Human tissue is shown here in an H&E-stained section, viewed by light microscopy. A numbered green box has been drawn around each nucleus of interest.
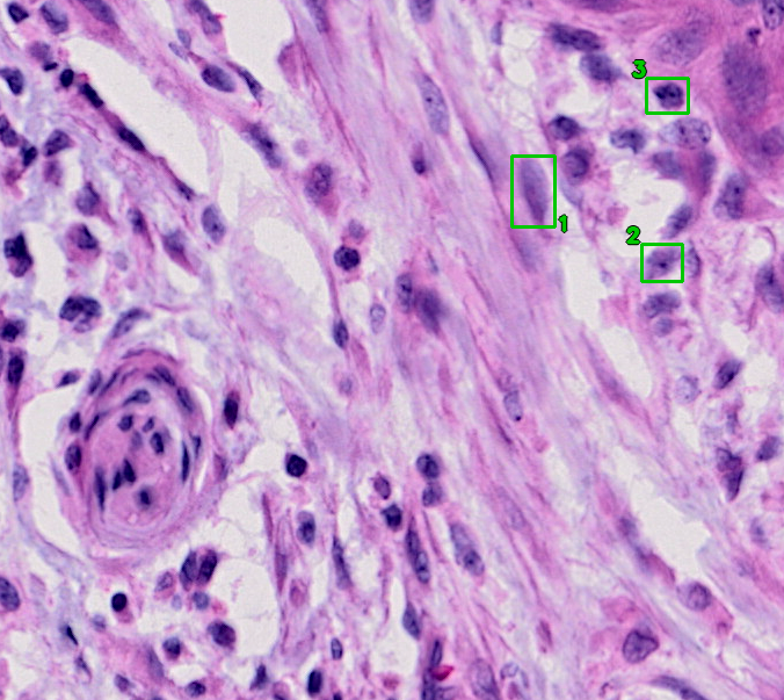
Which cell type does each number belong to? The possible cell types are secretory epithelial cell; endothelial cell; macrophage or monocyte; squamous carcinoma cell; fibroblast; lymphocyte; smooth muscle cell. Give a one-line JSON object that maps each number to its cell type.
{"1": "fibroblast", "2": "fibroblast", "3": "lymphocyte"}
